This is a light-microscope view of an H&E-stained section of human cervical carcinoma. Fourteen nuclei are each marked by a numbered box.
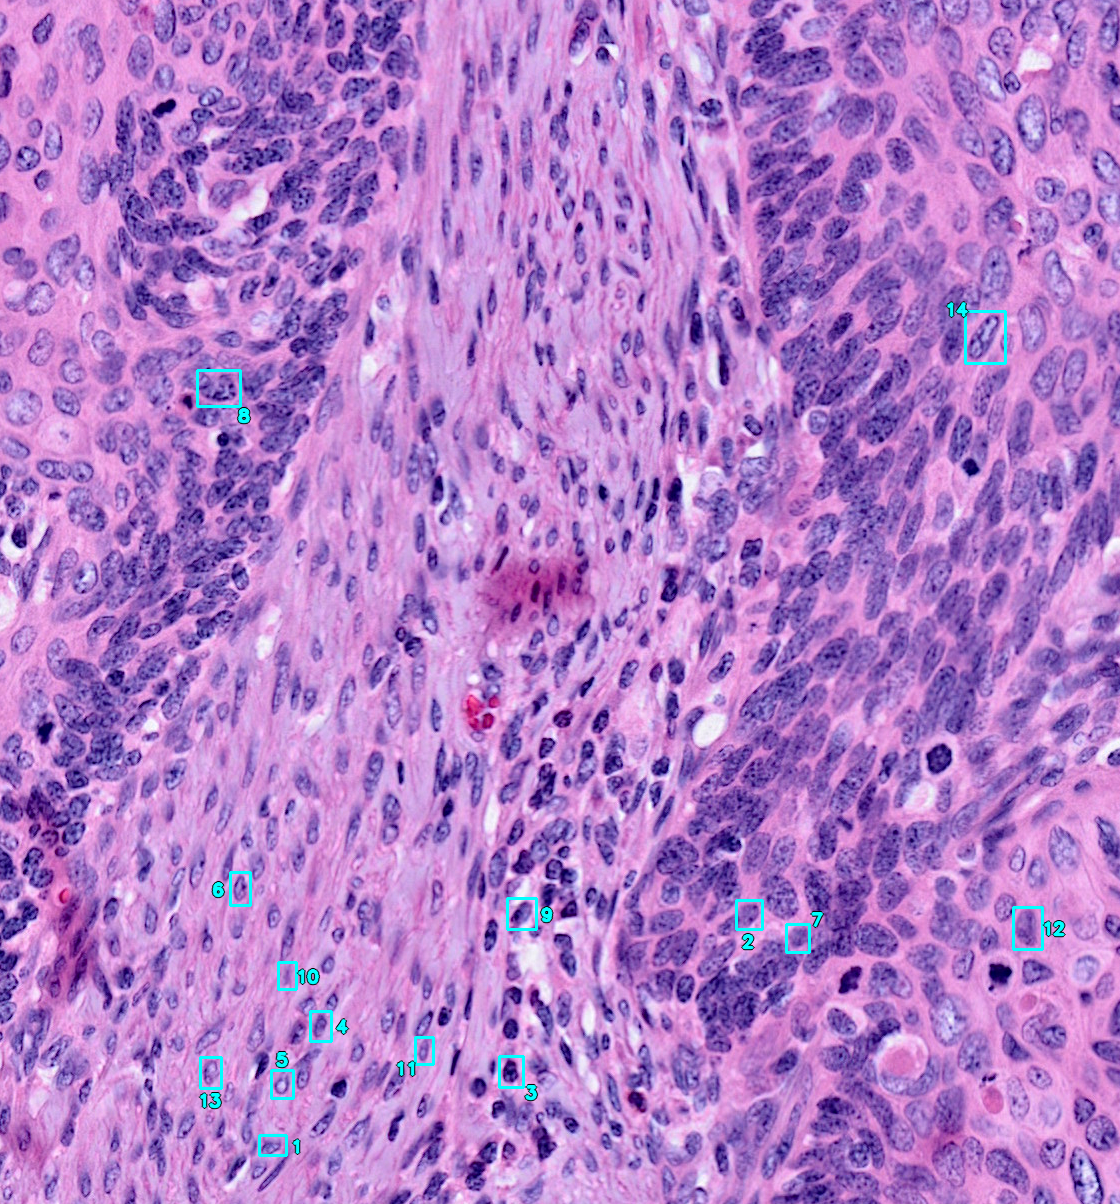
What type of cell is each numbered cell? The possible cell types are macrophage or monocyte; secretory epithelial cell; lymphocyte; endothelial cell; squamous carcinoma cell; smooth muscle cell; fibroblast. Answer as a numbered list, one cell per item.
1. smooth muscle cell
2. squamous carcinoma cell
3. lymphocyte
4. smooth muscle cell
5. smooth muscle cell
6. smooth muscle cell
7. squamous carcinoma cell
8. squamous carcinoma cell
9. lymphocyte
10. smooth muscle cell
11. smooth muscle cell
12. squamous carcinoma cell
13. smooth muscle cell
14. squamous carcinoma cell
